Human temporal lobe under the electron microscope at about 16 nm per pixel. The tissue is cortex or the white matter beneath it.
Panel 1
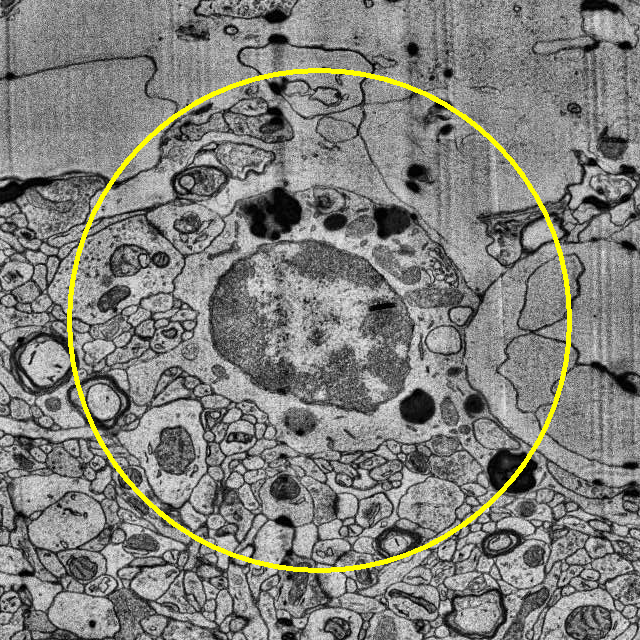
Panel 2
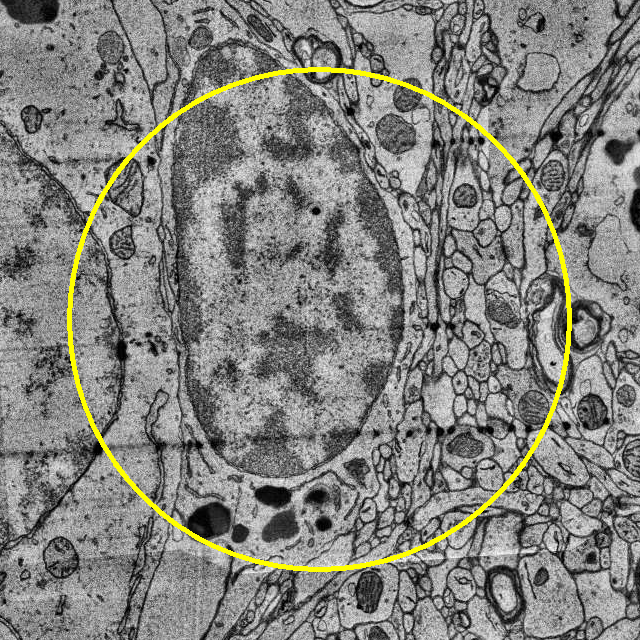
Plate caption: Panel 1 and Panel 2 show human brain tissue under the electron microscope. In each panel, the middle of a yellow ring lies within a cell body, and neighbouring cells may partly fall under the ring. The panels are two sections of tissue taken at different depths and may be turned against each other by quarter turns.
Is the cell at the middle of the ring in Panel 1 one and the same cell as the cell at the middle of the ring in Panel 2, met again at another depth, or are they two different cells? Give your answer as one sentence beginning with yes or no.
No, the two marked cells are different cells.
